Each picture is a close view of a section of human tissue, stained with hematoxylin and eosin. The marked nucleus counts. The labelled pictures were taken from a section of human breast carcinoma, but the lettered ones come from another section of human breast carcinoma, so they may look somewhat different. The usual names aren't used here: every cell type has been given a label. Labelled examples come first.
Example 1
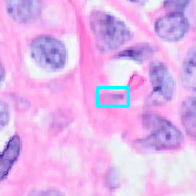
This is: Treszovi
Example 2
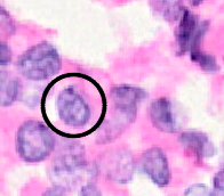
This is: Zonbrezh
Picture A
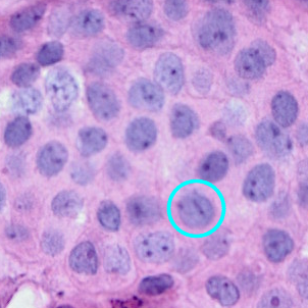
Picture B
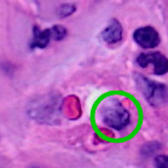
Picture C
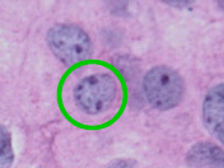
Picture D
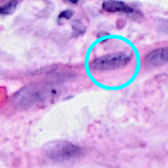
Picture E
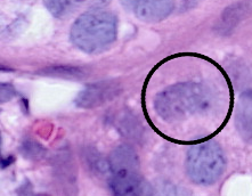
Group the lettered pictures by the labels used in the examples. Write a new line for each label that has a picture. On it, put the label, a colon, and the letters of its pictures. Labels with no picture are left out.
Treszovi: B, D
Zonbrezh: A, C, E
